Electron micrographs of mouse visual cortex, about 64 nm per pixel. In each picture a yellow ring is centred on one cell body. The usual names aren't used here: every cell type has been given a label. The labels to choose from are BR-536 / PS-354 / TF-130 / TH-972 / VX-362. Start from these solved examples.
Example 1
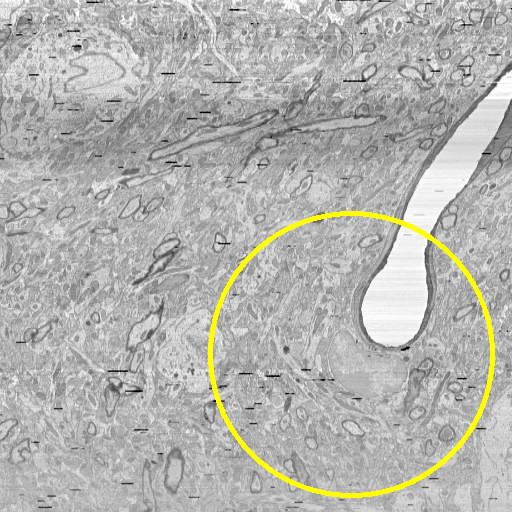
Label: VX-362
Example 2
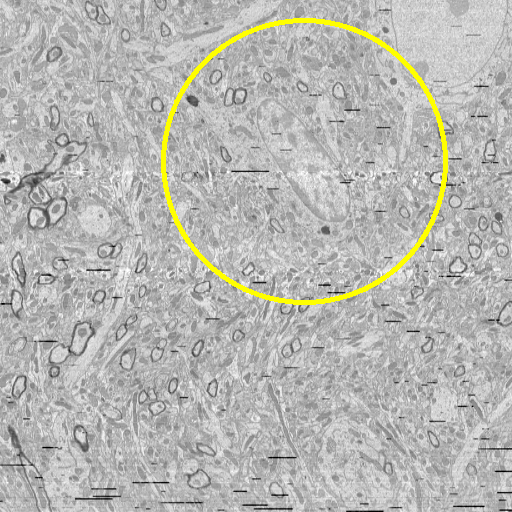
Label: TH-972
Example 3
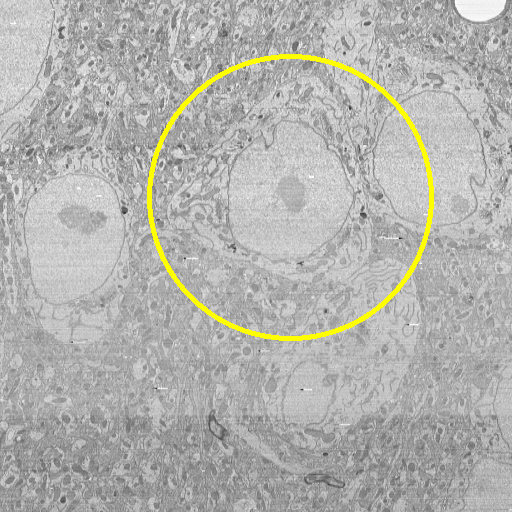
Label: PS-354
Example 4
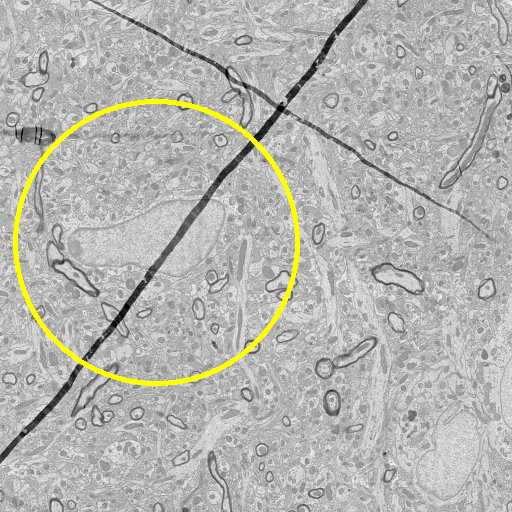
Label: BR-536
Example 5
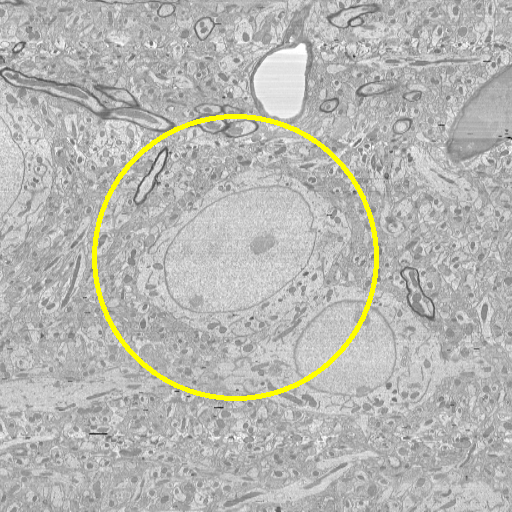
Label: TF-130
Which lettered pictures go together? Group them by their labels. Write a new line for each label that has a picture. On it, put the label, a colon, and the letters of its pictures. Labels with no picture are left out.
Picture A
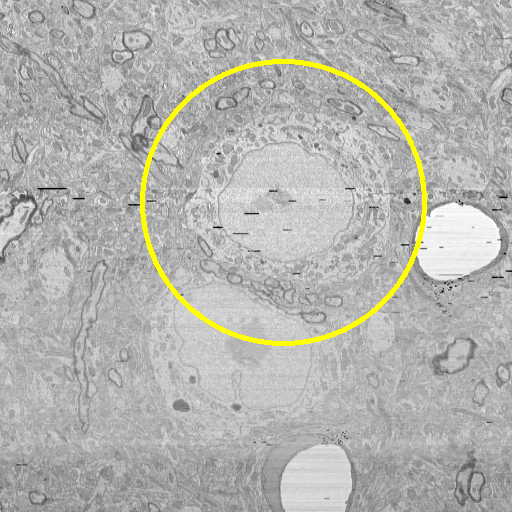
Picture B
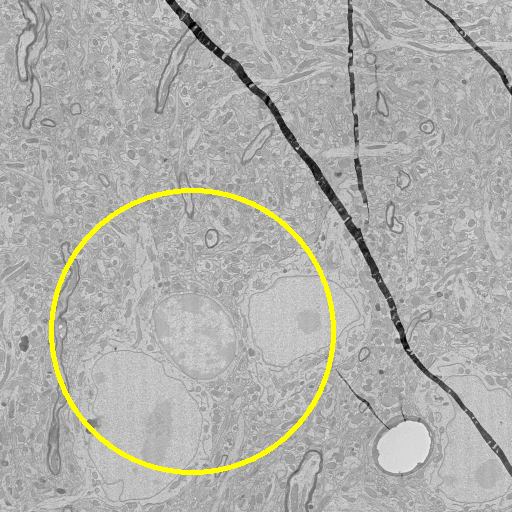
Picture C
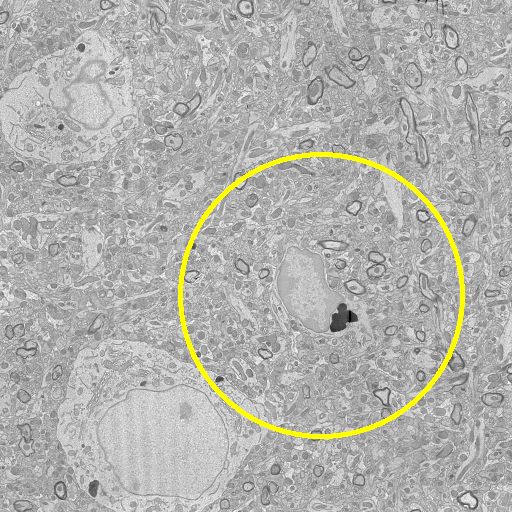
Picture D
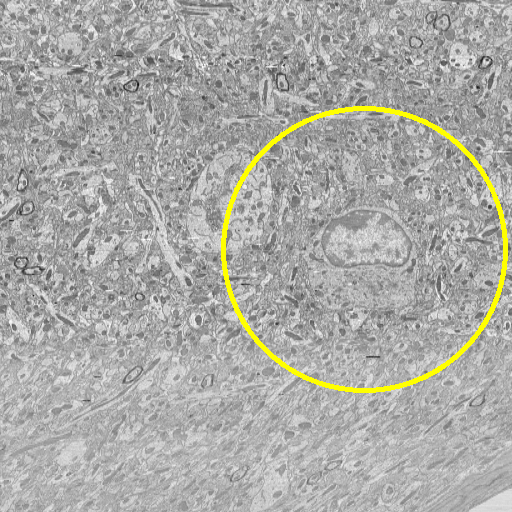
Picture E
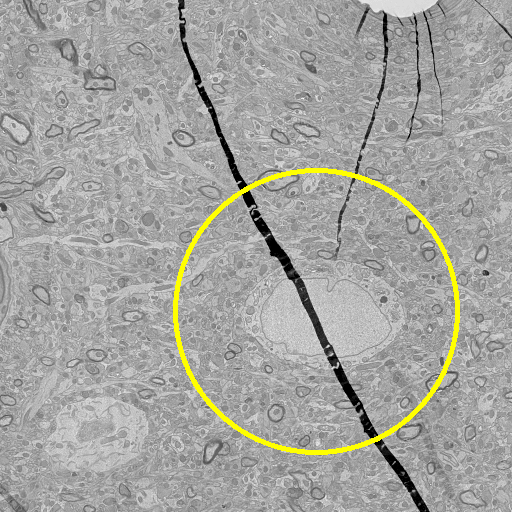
PS-354: A
TF-130: E
TH-972: B, D
VX-362: C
